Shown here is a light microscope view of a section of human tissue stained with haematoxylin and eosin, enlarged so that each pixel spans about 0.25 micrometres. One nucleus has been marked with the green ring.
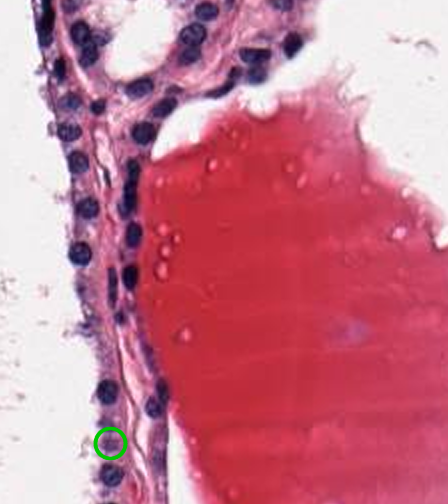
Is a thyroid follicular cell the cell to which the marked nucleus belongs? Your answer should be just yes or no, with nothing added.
yes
